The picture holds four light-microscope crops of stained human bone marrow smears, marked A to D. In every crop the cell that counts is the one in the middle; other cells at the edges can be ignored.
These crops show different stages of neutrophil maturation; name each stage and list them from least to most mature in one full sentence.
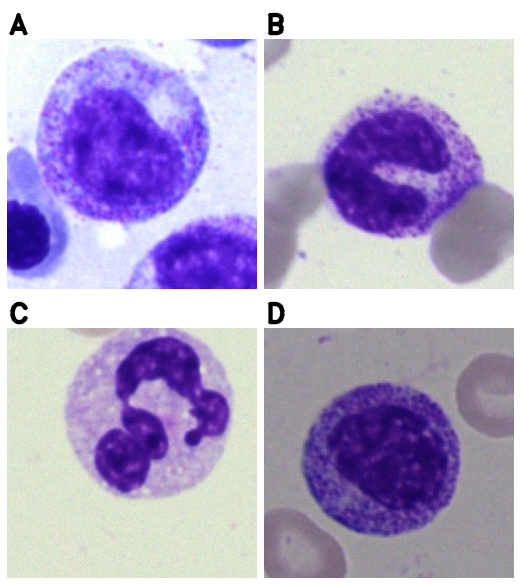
Along the maturation line, from least to most mature, sit crop D (a myelocyte), crop A (a metamyelocyte), crop B (a band neutrophil) and crop C (a segmented neutrophil).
